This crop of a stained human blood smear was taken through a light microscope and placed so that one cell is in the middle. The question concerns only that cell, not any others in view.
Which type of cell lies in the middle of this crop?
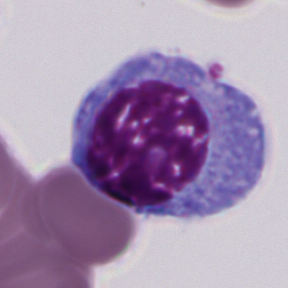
plasma cell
